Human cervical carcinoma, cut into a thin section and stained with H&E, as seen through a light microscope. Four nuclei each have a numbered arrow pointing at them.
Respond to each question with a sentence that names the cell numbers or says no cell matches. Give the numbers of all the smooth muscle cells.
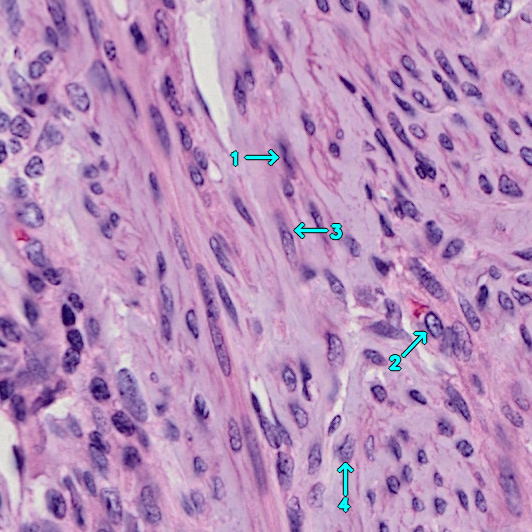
The numbers 1, 3 and 4 in this section indicate smooth muscle cells.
